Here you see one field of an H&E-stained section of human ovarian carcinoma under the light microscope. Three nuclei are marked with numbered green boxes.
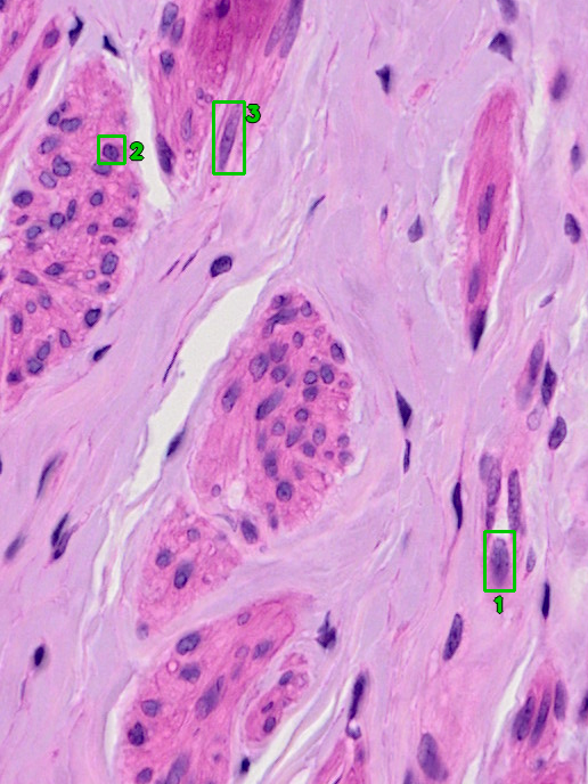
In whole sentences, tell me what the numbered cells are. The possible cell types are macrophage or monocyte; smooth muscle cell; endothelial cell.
Cell 1 is an endothelial cell, cell 2 is a smooth muscle cell and cell 3 is a smooth muscle cell.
